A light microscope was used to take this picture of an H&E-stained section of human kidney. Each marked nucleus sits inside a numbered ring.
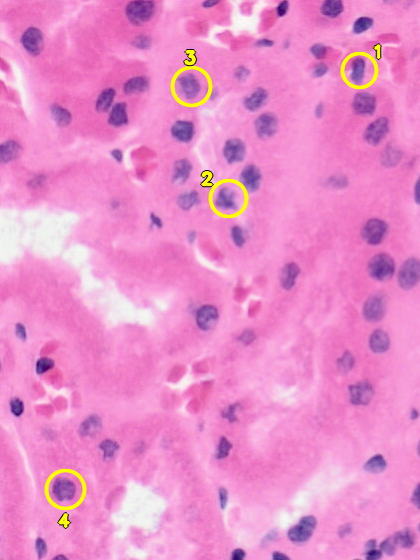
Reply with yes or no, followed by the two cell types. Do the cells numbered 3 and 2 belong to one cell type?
Yes, cells 3 and 2 fall into the same group, both being loop of Henle or distal tubule cells.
